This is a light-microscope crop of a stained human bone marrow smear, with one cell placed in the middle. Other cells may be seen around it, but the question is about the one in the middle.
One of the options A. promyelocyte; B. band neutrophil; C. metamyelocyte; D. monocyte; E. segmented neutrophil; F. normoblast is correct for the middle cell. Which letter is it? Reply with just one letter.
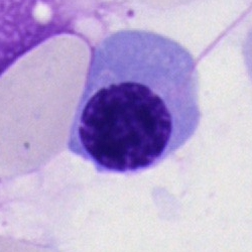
F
